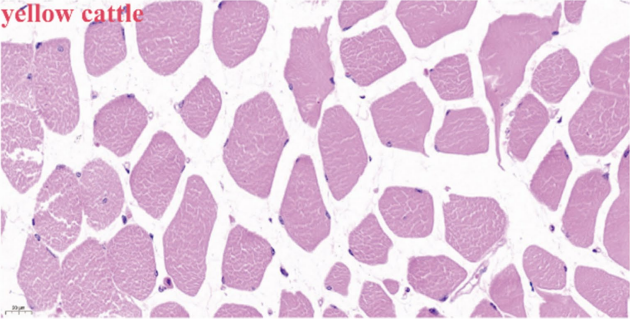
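This is skeletal muscle cut across, with many pink, polygonal to rounded muscle fibers of somewhat varying size. Wide pale gaps separate the fibers, which lie loosely apart rather than tightly packed. Small dark purple nuclei sit at the edges of the fibers, against their outer borders, as is usual for myofibers. The pink cytoplasm shows fine pale streaks within the fibers.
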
